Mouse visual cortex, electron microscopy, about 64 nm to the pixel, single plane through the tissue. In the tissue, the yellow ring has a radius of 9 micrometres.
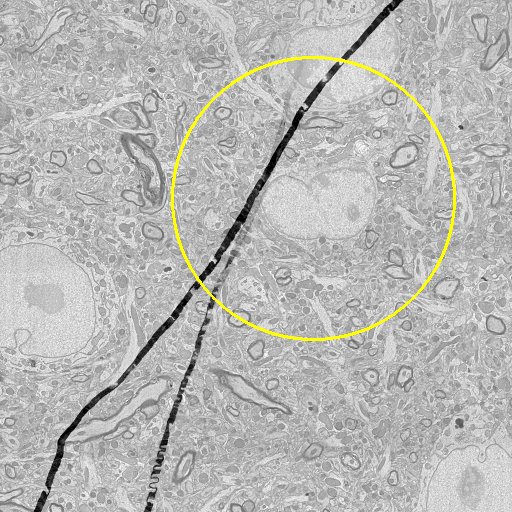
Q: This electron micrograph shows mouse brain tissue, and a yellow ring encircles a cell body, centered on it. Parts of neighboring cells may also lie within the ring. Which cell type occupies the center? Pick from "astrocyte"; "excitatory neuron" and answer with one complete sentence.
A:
What sits at the ring's center in this micrograph is an astrocyte, among those choices.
